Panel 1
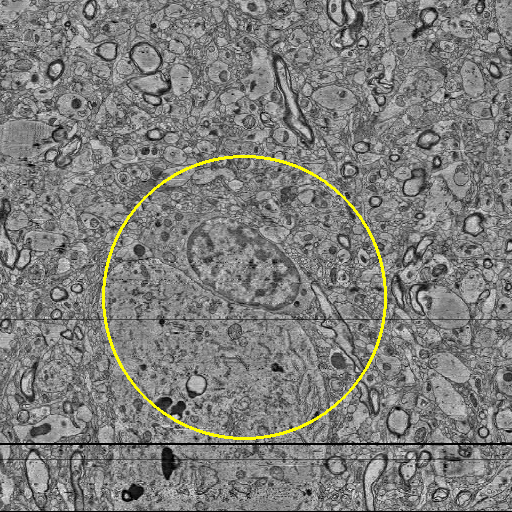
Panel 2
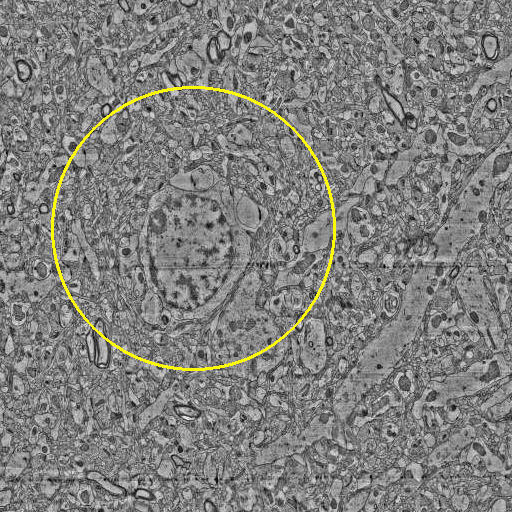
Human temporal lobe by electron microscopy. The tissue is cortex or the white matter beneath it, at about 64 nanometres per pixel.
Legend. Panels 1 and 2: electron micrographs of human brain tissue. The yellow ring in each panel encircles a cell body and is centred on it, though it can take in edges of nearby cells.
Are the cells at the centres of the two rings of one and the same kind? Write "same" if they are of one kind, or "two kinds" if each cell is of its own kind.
two kinds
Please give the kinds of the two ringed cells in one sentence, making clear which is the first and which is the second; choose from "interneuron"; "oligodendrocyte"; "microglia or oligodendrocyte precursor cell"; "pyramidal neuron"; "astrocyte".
In the second picture the ringed cell is an interneuron; in the first it is an oligodendrocyte.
